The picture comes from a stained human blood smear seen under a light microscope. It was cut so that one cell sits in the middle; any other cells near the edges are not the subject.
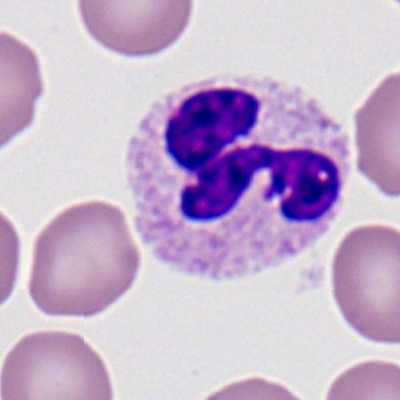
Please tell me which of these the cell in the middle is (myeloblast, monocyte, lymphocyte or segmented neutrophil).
segmented neutrophil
